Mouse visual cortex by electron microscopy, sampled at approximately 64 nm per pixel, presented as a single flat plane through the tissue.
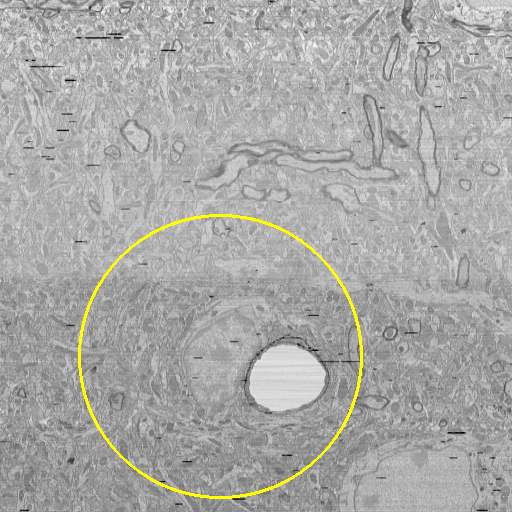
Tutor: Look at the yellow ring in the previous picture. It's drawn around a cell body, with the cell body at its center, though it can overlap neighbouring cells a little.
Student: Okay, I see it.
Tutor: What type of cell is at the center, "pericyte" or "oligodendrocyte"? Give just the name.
oligodendrocyte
